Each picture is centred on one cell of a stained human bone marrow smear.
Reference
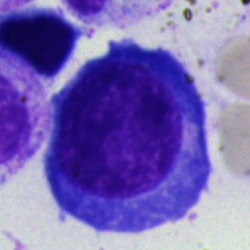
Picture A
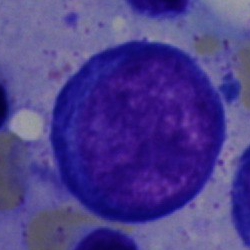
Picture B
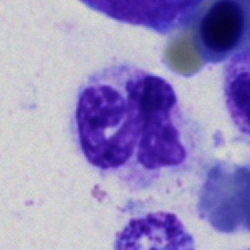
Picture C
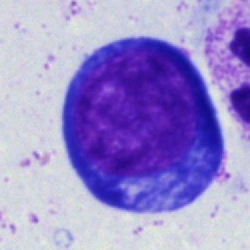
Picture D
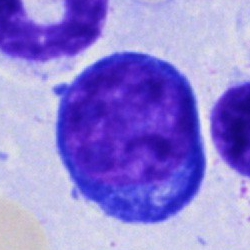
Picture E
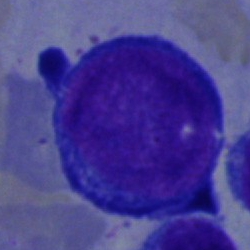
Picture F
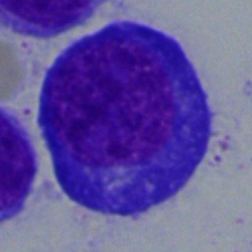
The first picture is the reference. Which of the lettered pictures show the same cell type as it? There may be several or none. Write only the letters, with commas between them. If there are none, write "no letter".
A, C, D, E, F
